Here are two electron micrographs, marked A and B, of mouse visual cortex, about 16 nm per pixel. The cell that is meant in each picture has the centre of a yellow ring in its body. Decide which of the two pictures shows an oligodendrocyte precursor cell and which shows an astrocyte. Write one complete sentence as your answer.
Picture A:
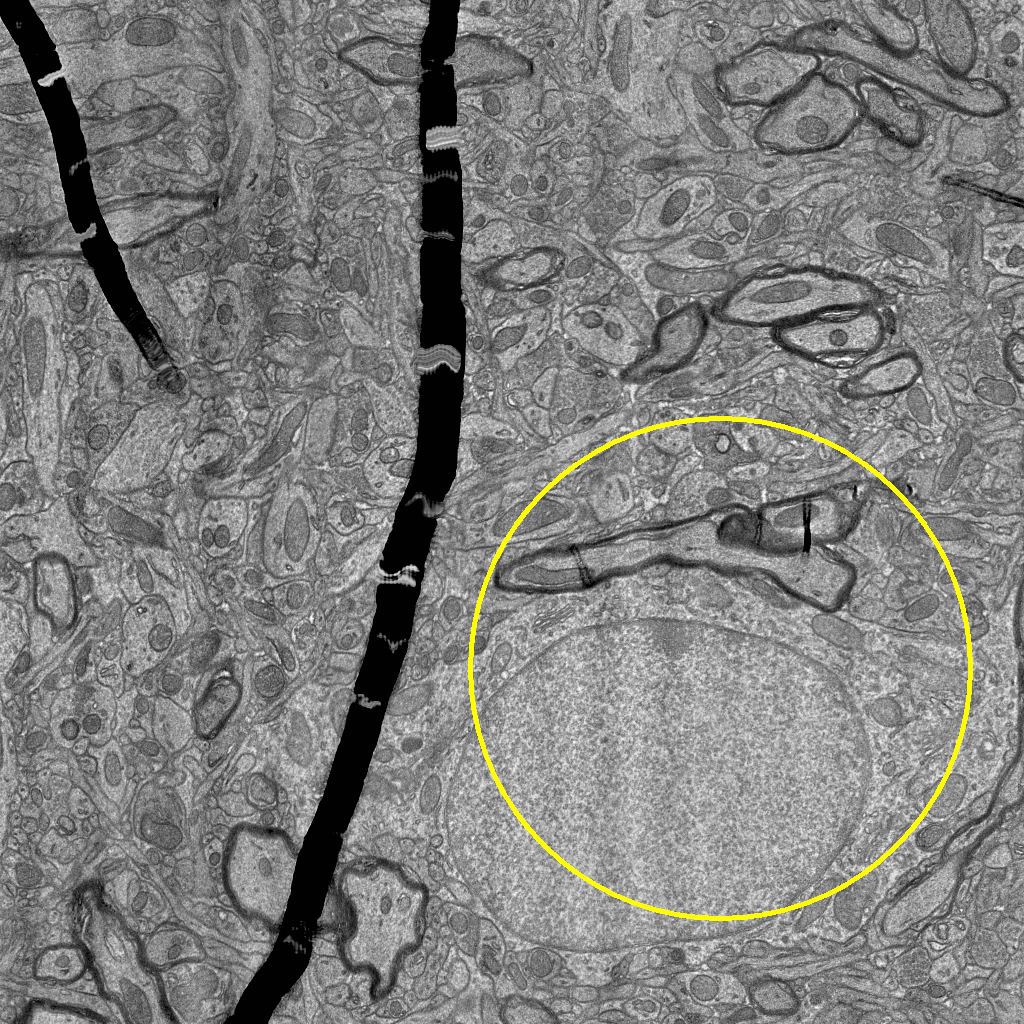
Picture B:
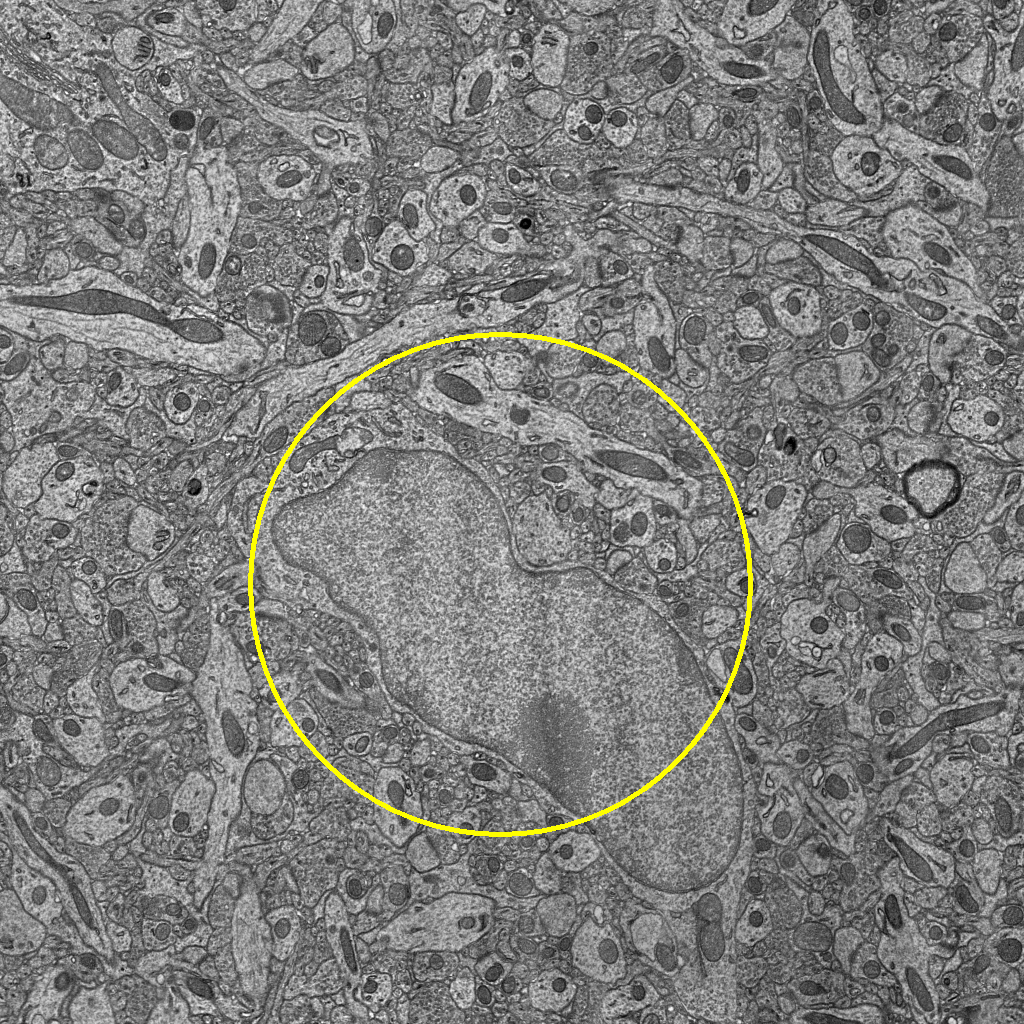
Picture A is of an astrocyte, and picture B is of an oligodendrocyte precursor cell.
